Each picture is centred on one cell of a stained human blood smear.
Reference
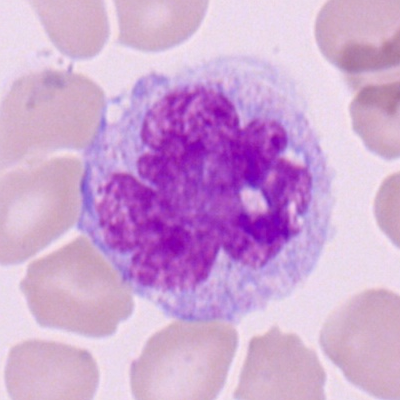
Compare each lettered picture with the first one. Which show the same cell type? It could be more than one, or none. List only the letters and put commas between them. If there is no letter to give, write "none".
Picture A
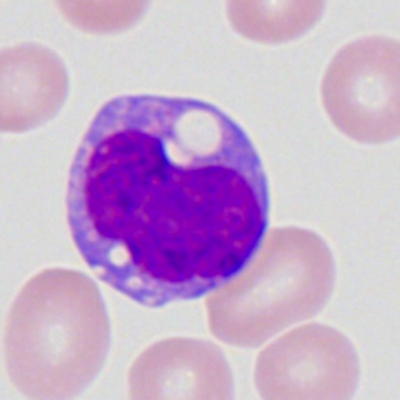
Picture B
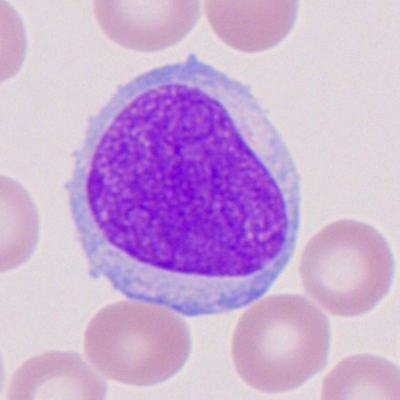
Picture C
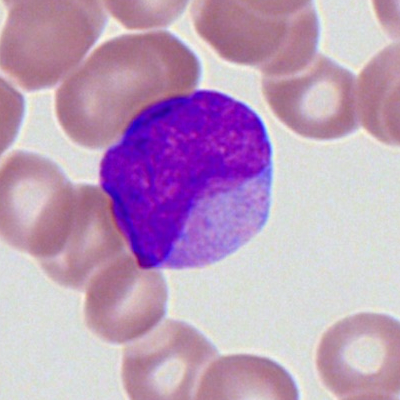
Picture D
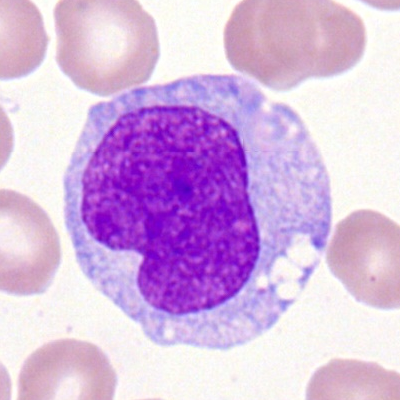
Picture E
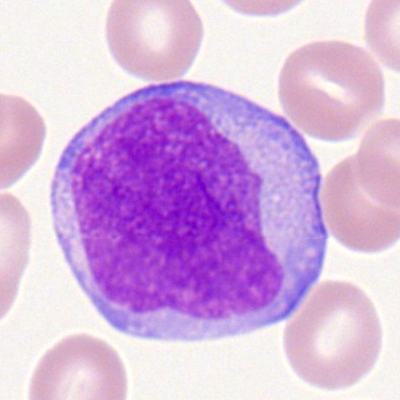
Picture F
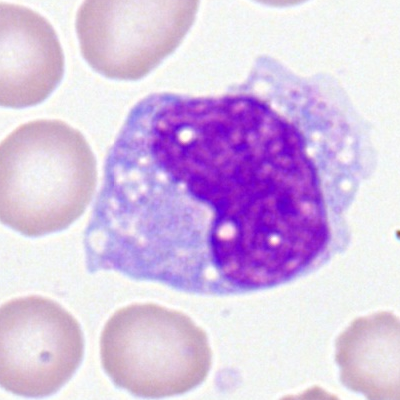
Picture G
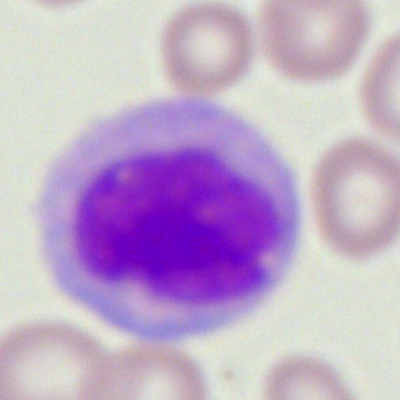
A, D, F, G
